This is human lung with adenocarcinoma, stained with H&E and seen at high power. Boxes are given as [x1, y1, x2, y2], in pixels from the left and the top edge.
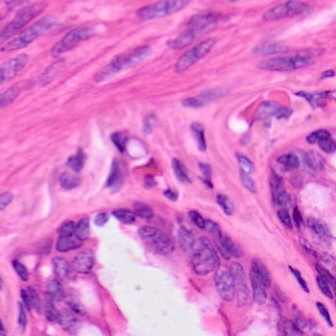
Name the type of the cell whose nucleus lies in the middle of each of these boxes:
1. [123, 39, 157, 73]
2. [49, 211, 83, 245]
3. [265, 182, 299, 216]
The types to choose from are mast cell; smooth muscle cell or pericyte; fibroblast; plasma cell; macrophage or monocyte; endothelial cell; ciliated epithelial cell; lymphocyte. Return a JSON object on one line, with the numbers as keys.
{"1": "smooth muscle cell or pericyte", "2": "ciliated epithelial cell", "3": "ciliated epithelial cell"}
